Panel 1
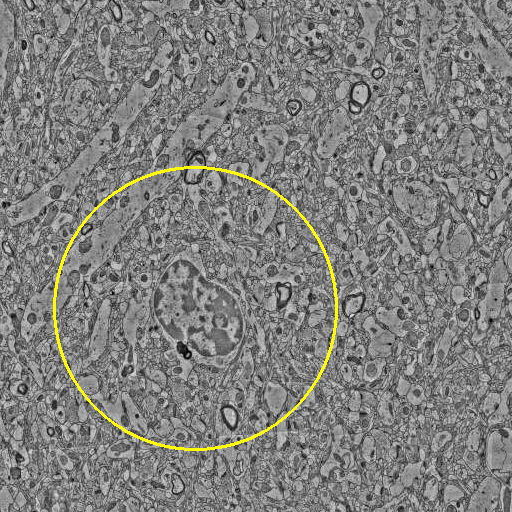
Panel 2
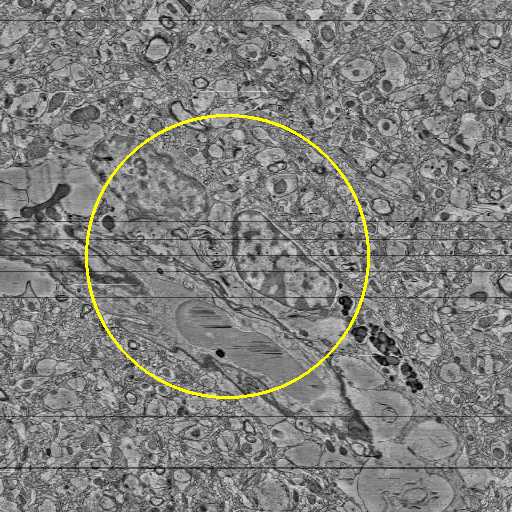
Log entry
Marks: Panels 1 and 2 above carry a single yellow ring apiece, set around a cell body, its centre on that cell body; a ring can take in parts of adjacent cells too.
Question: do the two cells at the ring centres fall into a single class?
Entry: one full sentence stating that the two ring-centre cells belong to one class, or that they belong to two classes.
The two ring-centre cells in Panels 1 and 2 belong to one class.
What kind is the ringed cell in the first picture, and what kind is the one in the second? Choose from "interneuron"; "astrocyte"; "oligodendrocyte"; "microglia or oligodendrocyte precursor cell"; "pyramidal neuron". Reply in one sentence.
In each picture the ringed cell is a microglial cell or oligodendrocyte precursor cell.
